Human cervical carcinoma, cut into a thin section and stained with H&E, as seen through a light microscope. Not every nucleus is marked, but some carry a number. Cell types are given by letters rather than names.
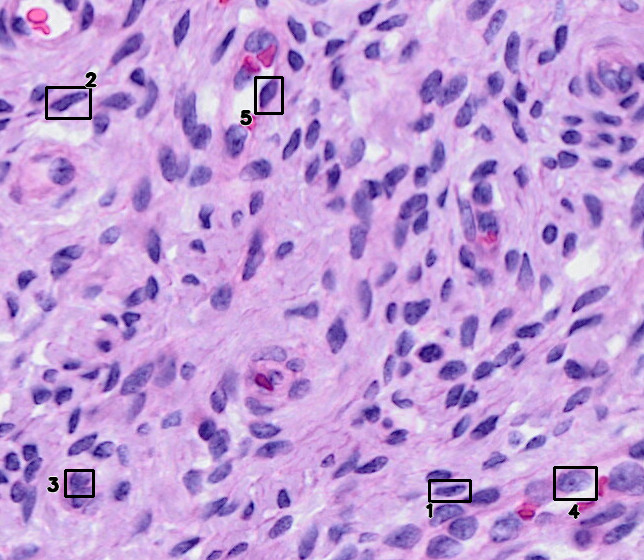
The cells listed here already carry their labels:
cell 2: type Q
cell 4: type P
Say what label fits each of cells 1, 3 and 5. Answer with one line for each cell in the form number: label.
1: type Q
3: type P
5: type P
